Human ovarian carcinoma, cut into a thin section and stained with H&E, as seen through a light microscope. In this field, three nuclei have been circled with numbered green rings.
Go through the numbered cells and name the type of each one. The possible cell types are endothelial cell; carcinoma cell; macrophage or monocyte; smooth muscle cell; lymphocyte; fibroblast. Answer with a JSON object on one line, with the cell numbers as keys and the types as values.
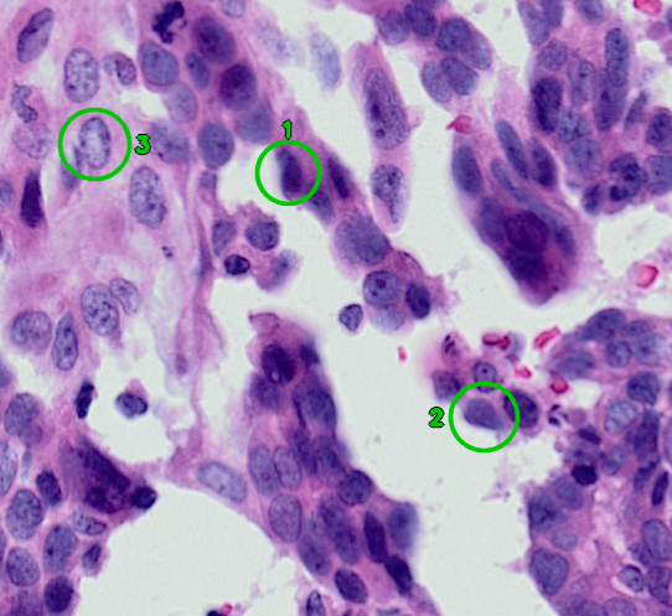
{"1": "carcinoma cell", "2": "carcinoma cell", "3": "fibroblast"}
